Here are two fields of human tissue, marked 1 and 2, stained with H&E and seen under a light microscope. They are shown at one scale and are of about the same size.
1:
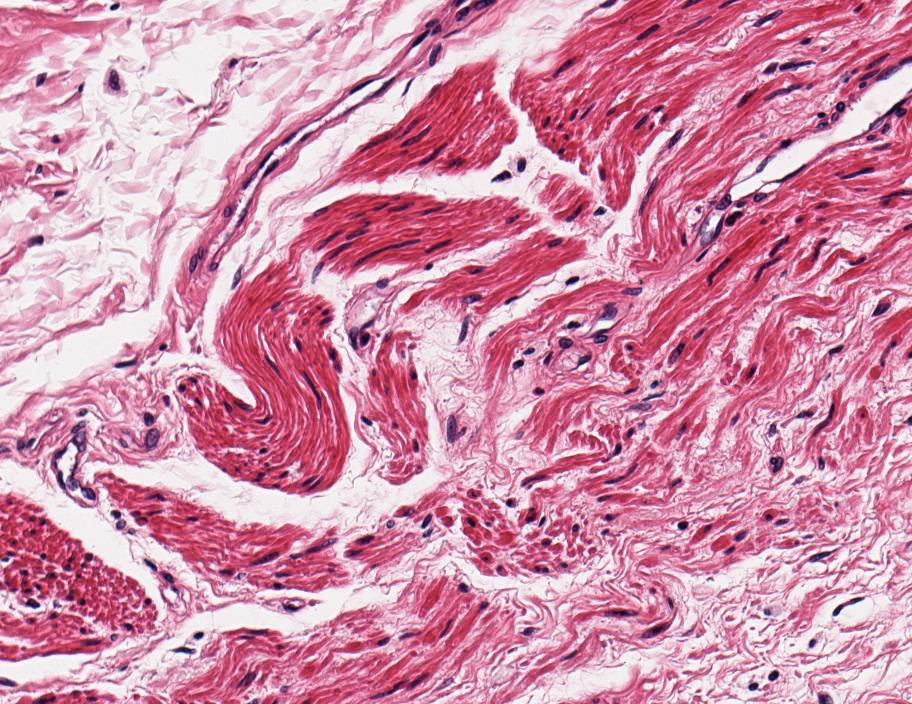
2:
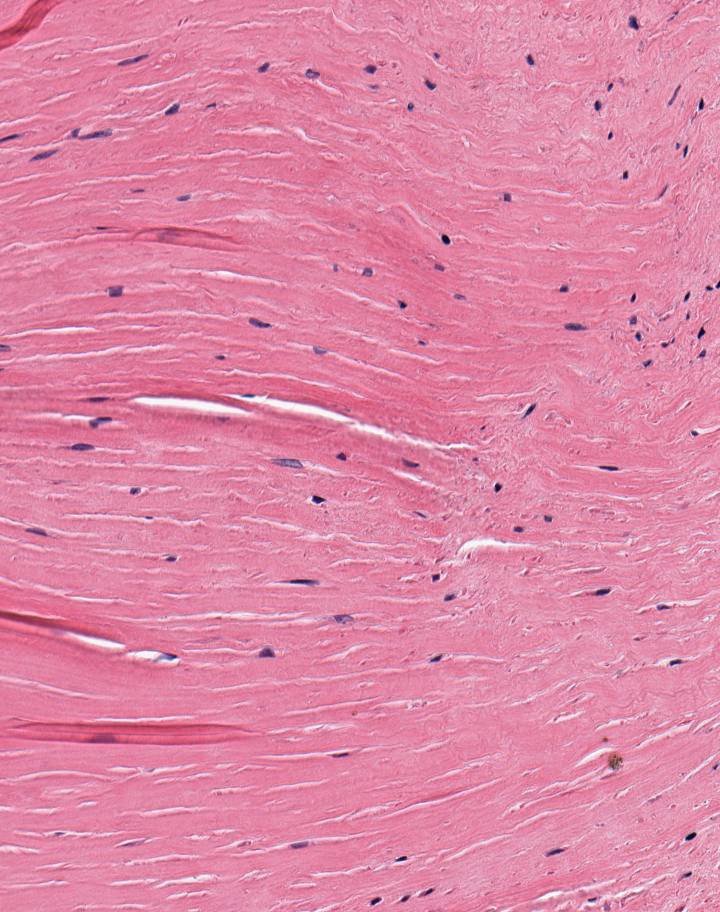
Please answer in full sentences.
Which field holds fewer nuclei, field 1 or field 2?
Field 2 holds fewer nuclei than field 1.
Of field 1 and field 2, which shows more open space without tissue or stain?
More of field 1 is empty and white.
